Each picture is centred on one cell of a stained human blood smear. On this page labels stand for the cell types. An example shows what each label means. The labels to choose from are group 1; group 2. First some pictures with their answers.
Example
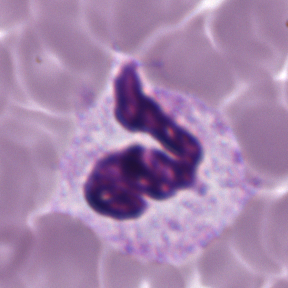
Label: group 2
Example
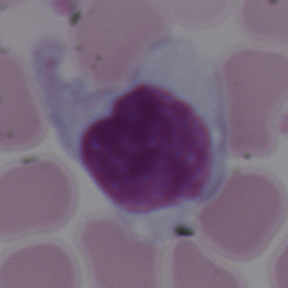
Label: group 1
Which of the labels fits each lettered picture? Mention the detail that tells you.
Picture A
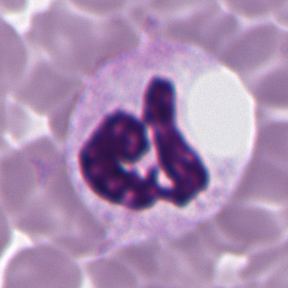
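group 2. The nucleus is divided into two main lobes that are joined toward the lower end.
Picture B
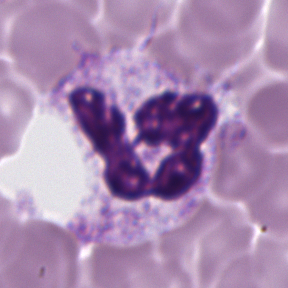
group 2. The cytoplasm is plentiful and very pale.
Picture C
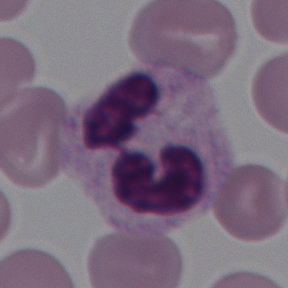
group 2. The nucleus appears as two separate dark lobes, one at upper left and one at lower right.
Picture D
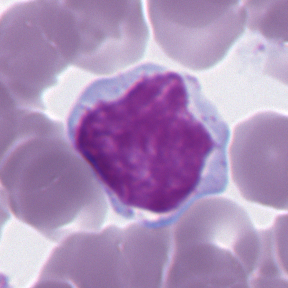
group 1. The nucleus fills most of the cell.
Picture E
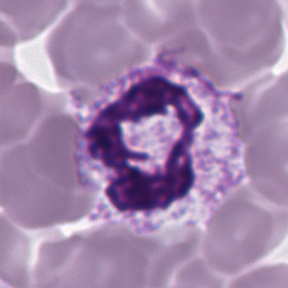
group 2. The nucleus is a thick curved band that loops around a pale central patch of cytoplasm.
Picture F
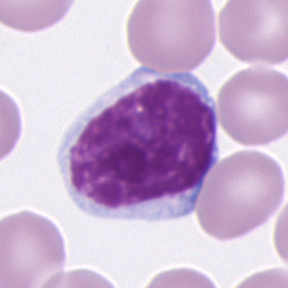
group 1. The cytoplasm forms only a narrow rim around the nucleus.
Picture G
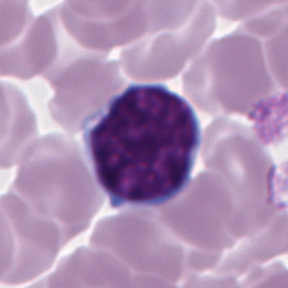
group 1. Only a very thin rim of cytoplasm is visible around the nucleus.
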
